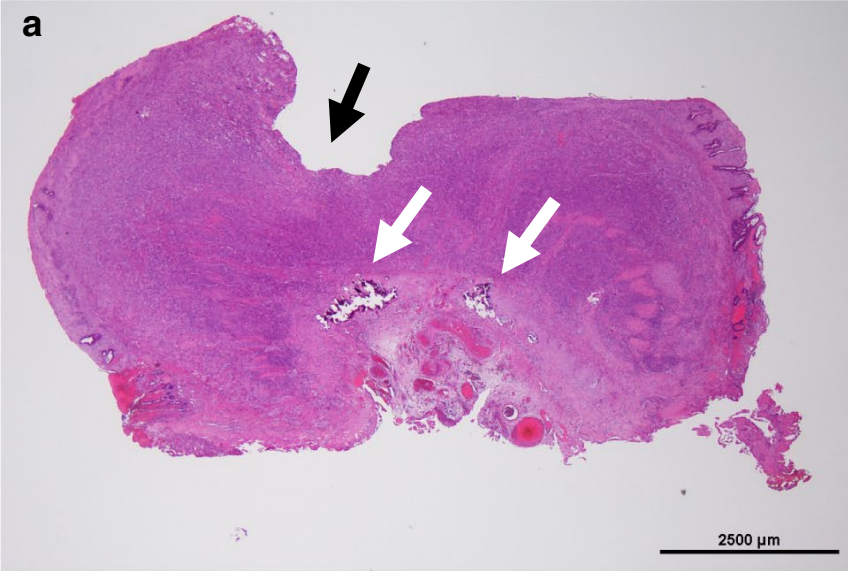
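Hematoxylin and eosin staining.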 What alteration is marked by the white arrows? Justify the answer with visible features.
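Partial calcification. The white arrows point to dark purple-black, fragmented deposits. The deposits are cracked with clear gaps, as brittle material cut on a microtome.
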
